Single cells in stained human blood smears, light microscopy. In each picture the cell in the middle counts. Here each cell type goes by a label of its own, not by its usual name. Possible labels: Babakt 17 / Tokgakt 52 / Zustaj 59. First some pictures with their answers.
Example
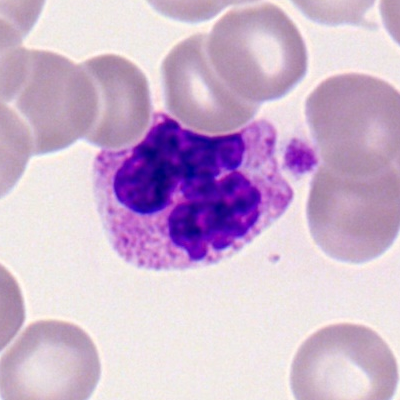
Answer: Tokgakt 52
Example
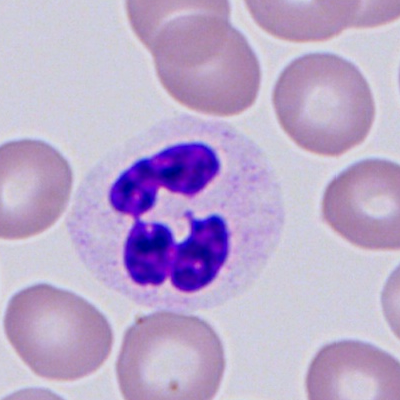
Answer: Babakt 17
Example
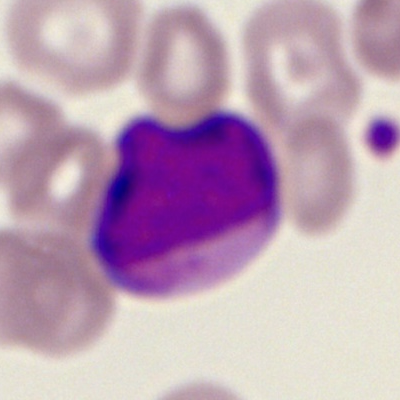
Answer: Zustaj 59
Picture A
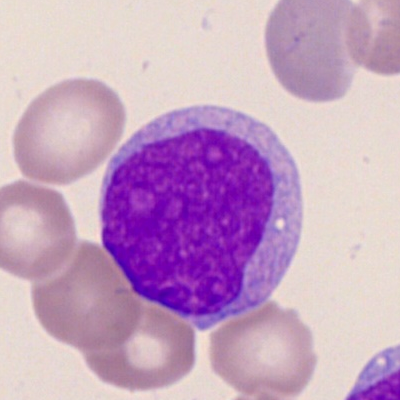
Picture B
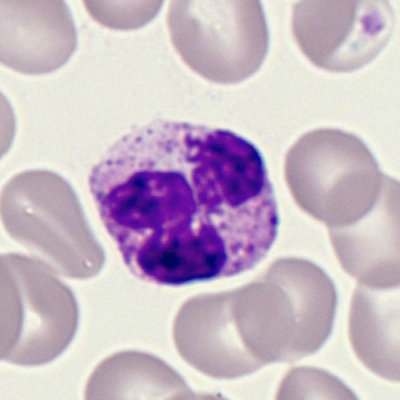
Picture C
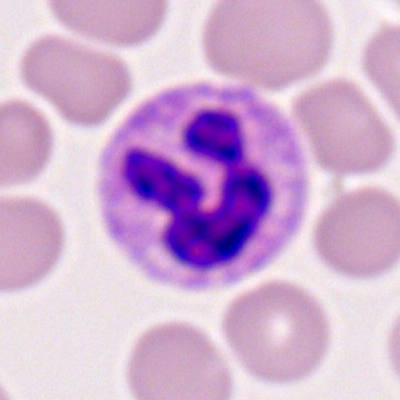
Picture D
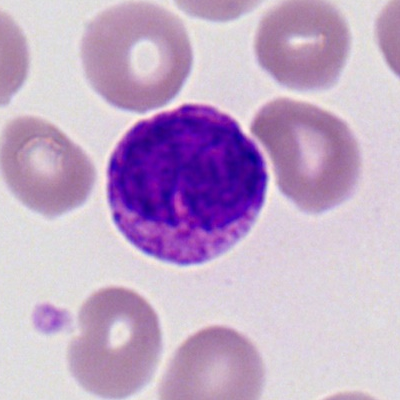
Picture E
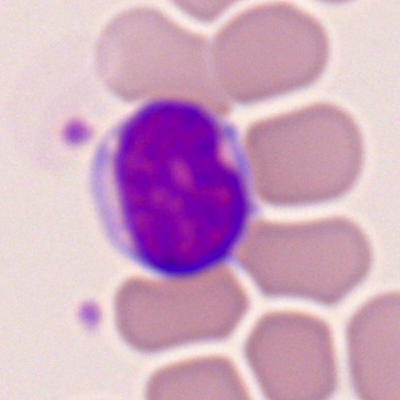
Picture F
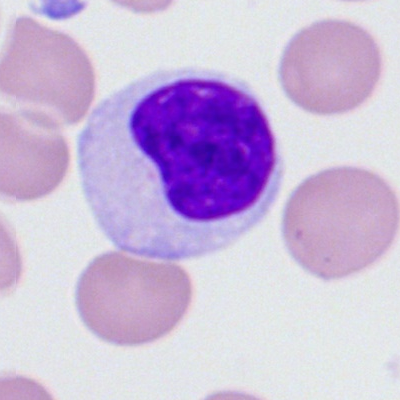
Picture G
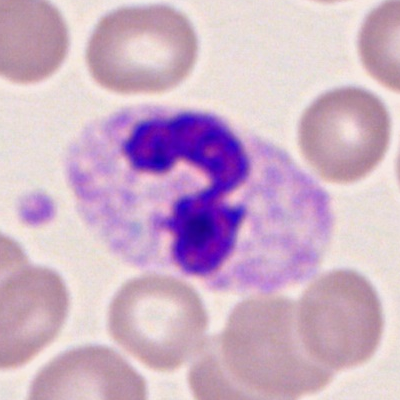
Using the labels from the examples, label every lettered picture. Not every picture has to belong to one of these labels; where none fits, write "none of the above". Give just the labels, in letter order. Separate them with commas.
Zustaj 59, Tokgakt 52, Babakt 17, Tokgakt 52, none of the above, none of the above, Babakt 17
